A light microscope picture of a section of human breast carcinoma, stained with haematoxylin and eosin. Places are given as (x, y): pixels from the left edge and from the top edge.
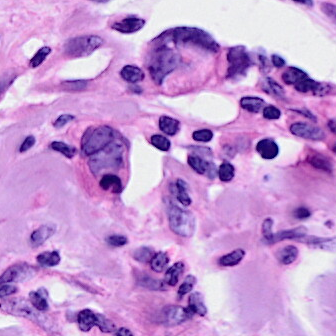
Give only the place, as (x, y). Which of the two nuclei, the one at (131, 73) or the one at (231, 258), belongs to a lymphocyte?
(131, 73)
